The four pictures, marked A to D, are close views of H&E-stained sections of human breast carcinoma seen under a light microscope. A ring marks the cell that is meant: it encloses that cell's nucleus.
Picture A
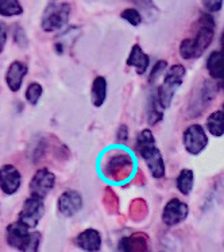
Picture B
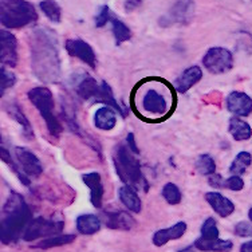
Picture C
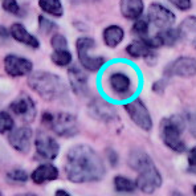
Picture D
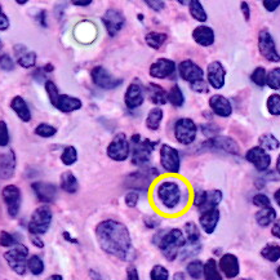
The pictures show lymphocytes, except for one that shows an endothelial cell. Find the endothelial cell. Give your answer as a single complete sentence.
Picture A shows the endothelial cell.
